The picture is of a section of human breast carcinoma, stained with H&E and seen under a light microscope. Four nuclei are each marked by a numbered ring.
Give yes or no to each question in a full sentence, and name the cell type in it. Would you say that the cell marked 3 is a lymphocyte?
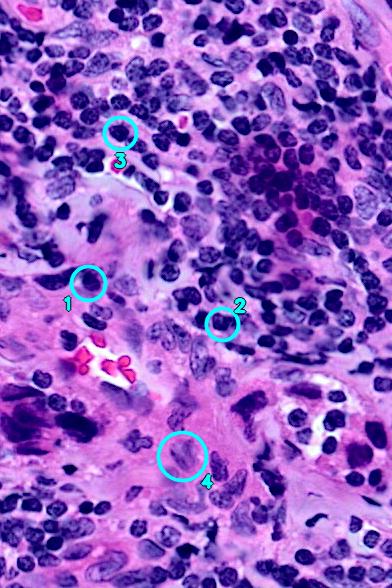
Yes, and to answer plainly, cell 3 is a lymphocyte.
